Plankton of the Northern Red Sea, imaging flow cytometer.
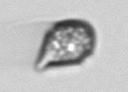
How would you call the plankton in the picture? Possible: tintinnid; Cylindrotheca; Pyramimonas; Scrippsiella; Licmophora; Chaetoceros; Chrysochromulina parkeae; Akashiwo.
I would call it Scrippsiella.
